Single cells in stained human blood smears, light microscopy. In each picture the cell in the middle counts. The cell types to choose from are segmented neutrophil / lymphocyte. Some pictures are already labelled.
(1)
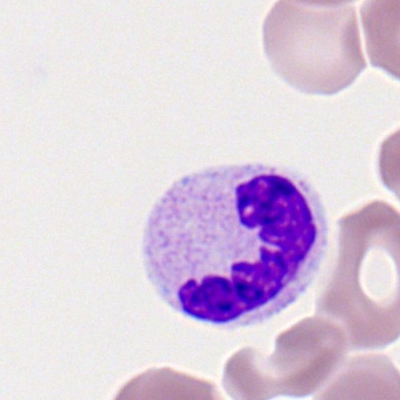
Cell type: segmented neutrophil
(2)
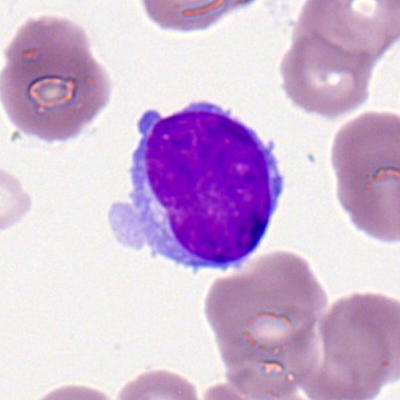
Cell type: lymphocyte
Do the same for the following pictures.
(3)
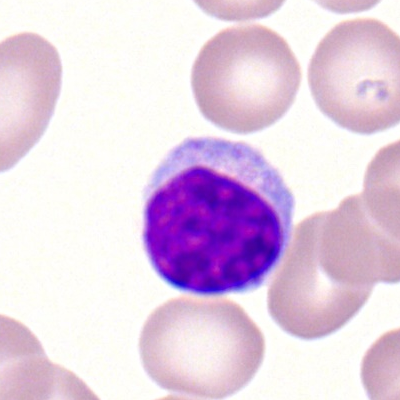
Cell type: lymphocyte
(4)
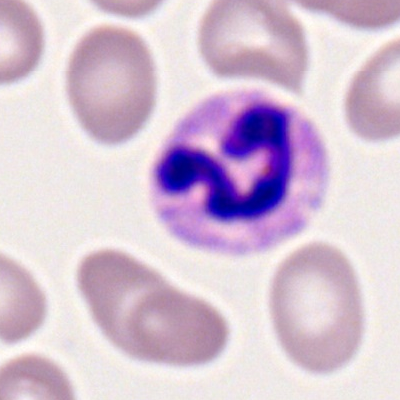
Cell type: segmented neutrophil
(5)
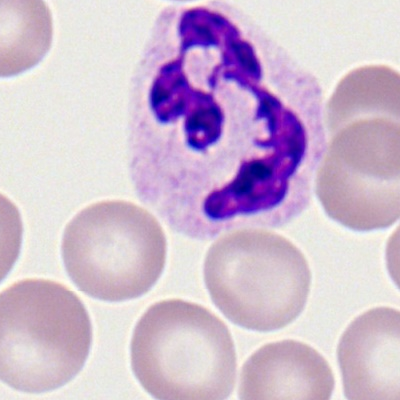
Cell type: segmented neutrophil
